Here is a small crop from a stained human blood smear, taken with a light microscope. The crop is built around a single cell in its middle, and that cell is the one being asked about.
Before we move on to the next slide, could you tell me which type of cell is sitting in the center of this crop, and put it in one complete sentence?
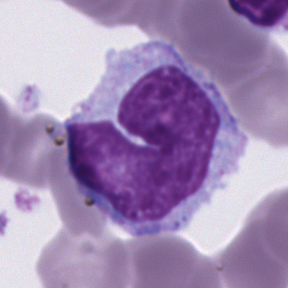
The cell featured at the centre of this crop is a monocyte.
